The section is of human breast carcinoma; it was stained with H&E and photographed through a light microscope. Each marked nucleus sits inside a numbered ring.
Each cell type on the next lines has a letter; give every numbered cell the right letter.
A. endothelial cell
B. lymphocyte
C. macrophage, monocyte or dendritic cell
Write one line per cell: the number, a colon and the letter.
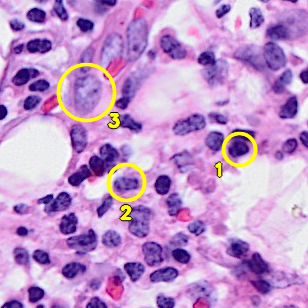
1: B
2: B
3: A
